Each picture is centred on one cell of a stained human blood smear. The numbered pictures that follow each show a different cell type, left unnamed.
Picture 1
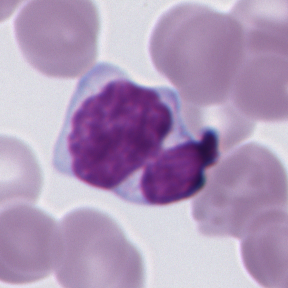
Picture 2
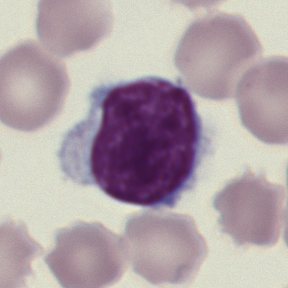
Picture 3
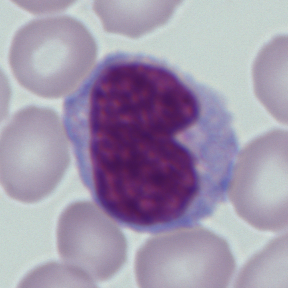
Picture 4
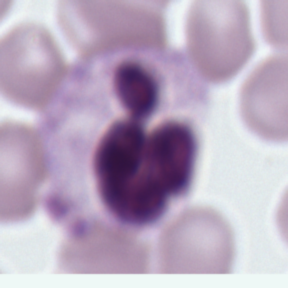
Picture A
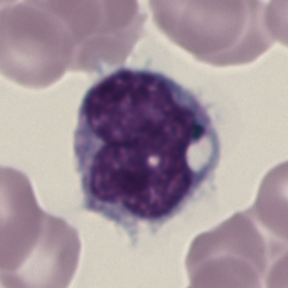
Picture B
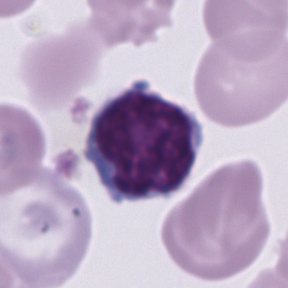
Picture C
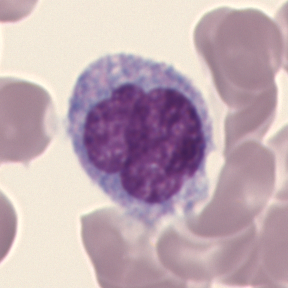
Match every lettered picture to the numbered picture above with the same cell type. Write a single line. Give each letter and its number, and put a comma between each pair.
A 3, B 2, C 3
